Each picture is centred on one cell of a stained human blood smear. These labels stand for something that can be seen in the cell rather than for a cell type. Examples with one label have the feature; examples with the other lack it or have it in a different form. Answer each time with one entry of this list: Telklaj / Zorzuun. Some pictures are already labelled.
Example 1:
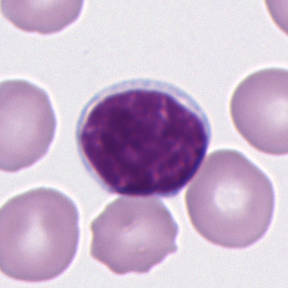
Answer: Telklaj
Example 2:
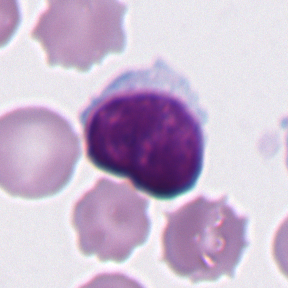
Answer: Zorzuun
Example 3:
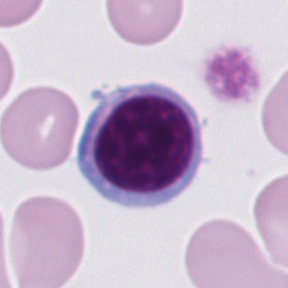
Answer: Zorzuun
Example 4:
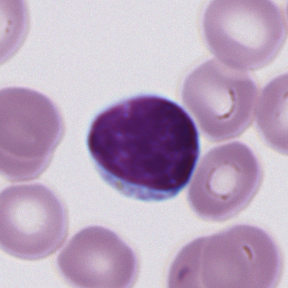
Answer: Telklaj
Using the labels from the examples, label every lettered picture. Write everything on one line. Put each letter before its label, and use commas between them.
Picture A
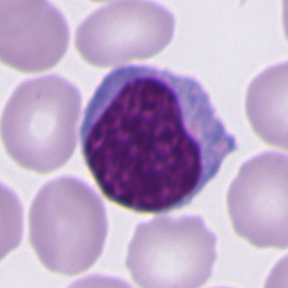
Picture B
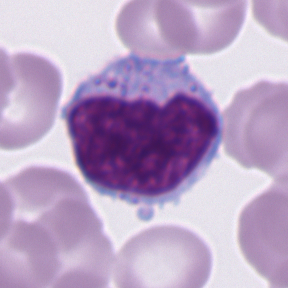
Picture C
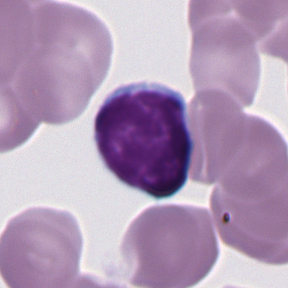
A Zorzuun, B Zorzuun, C Telklaj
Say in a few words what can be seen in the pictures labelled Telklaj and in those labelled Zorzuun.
In Telklaj: smooth outline. In Zorzuun: ragged outline or projections.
